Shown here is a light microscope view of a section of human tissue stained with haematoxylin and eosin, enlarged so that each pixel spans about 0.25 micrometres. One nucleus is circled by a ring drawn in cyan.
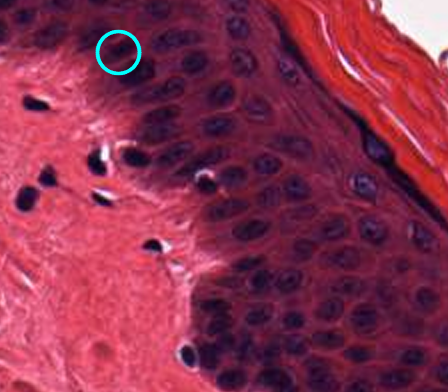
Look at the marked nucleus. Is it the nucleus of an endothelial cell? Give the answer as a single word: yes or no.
no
